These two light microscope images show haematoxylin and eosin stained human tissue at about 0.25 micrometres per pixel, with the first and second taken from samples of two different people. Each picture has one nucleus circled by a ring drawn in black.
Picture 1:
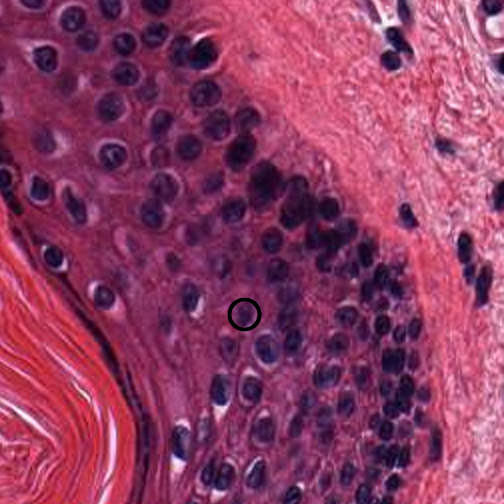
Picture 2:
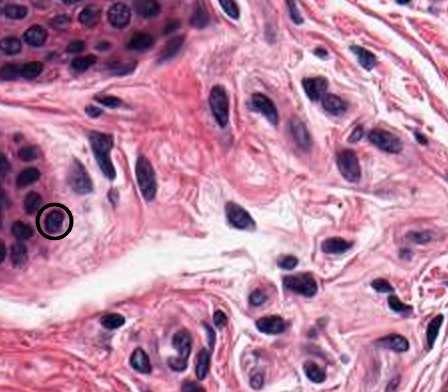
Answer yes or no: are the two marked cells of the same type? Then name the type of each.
No, the first is a keratinocyte and the second a sweat gland cell.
